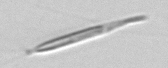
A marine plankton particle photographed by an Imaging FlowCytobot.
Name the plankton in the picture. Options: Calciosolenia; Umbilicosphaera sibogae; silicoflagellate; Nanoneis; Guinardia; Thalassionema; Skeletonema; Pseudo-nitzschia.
Calciosolenia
